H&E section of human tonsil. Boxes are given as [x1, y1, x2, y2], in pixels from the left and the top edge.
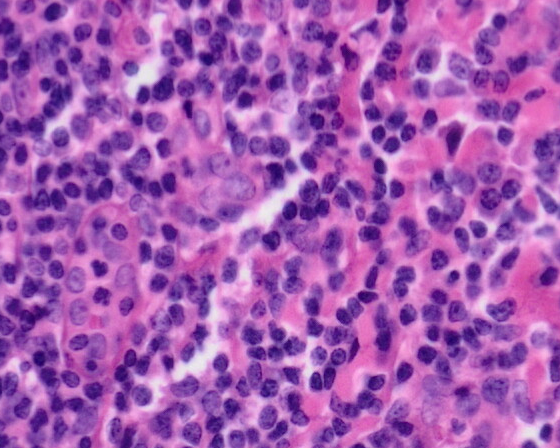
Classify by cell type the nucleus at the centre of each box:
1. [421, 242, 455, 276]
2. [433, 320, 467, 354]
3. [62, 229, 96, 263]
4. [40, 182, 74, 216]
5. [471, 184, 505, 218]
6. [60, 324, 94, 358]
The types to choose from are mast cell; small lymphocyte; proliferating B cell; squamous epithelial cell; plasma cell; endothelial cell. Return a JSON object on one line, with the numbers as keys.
{"1": "plasma cell", "2": "small lymphocyte", "3": "endothelial cell", "4": "small lymphocyte", "5": "plasma cell", "6": "endothelial cell"}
